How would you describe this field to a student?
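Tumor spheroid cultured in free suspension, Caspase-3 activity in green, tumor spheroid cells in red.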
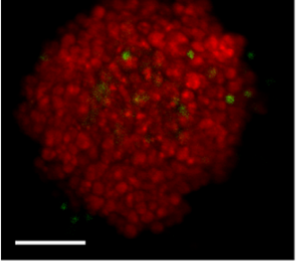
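The aggregate is made of many tightly packed, rounded cells, each seen as a separate red profile, filling the whole sphere without an obvious hollow centre or distinct rim. Green signal is sparse: only a few small, scattered green dots lie among the red cells, with no cluster of green in the centre.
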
